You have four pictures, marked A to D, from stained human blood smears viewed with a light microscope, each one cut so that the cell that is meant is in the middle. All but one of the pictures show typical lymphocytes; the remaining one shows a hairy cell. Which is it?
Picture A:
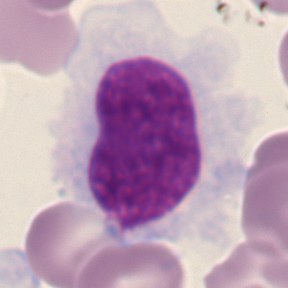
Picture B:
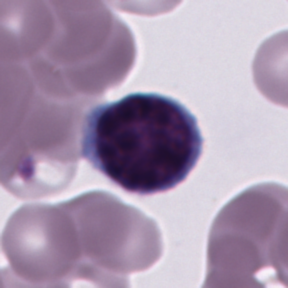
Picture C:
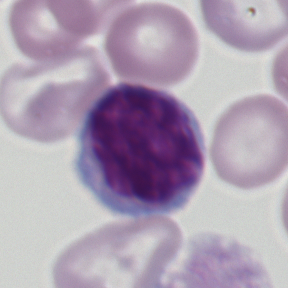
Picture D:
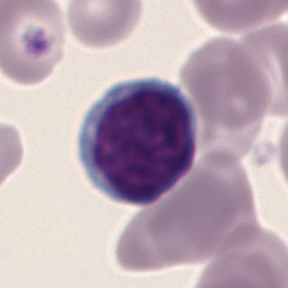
A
